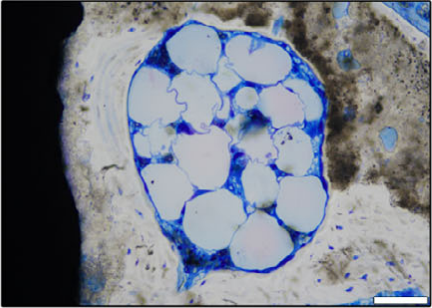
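A rounded space within pale bone is filled with adipocytes of varying size. Each has a clear, empty-looking interior and a thin blue rim.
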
